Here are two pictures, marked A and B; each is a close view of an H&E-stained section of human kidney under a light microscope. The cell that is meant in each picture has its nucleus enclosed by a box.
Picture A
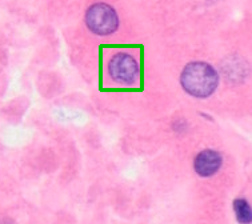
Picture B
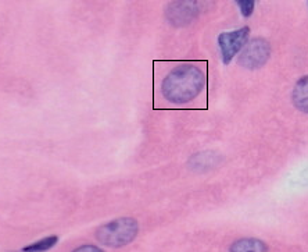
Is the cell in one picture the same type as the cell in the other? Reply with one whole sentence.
Yes, both cells are proximal tubule cells.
